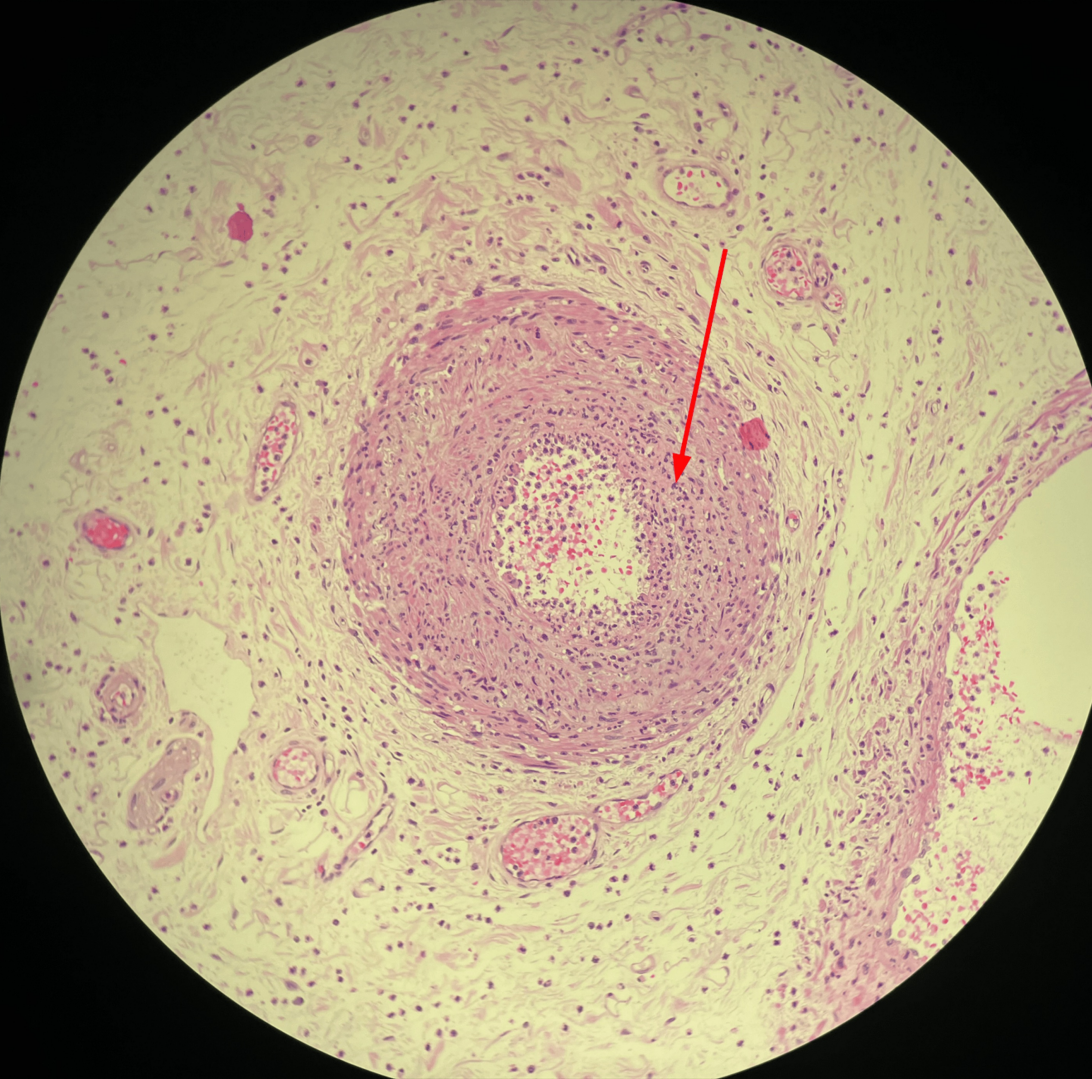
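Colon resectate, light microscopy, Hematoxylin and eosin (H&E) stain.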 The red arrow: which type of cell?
inflammatory cells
